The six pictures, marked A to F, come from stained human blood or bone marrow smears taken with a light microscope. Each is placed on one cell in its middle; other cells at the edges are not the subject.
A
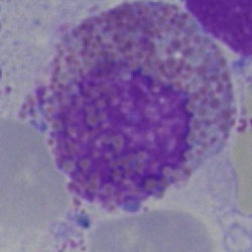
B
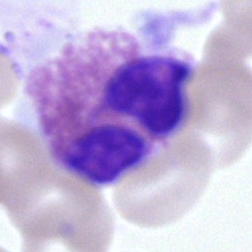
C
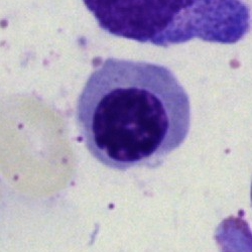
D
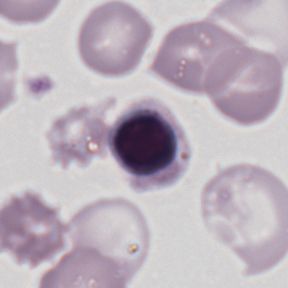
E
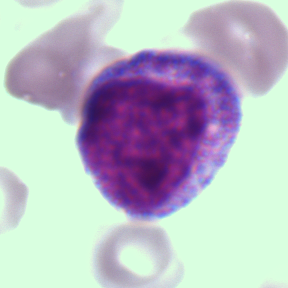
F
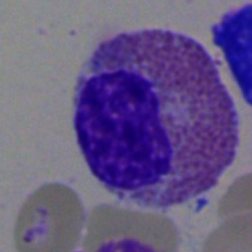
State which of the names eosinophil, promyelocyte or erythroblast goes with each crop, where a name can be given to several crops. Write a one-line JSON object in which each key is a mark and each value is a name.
{"A": "eosinophil", "B": "eosinophil", "C": "erythroblast", "D": "erythroblast", "E": "promyelocyte", "F": "eosinophil"}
